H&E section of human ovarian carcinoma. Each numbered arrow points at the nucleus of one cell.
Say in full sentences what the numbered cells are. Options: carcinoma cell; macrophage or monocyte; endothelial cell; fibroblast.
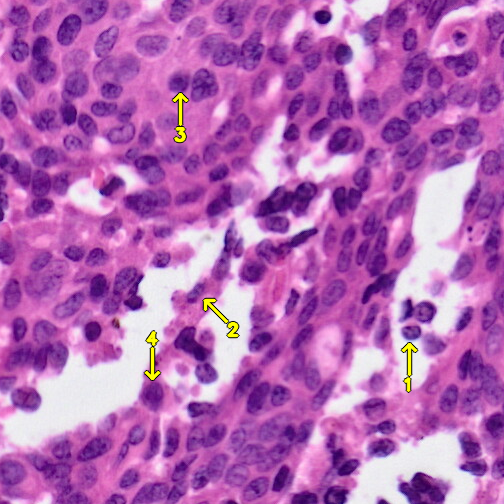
Cell 1 is a carcinoma cell, cell 2 is a macrophage or monocyte, cell 3 is a carcinoma cell and cell 4 is a carcinoma cell.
